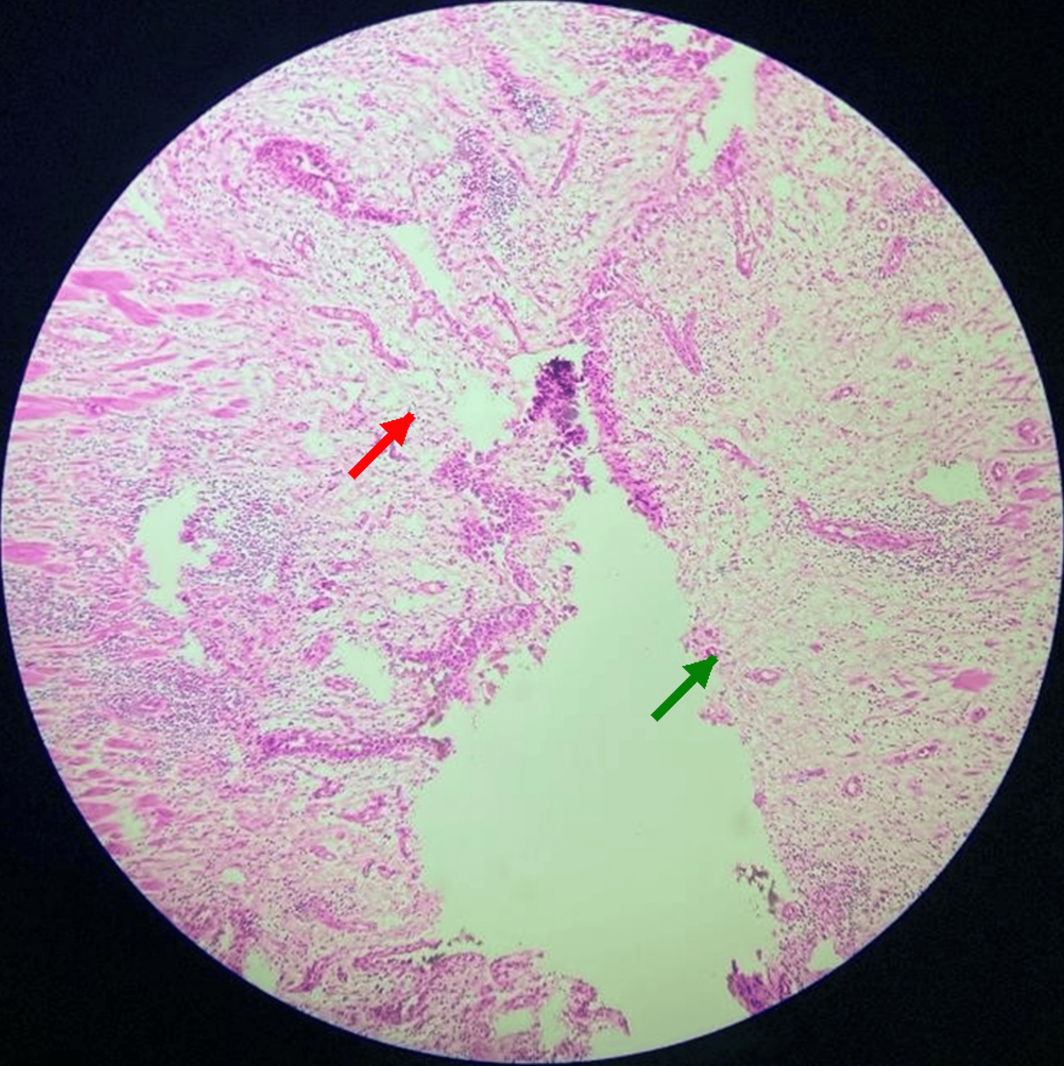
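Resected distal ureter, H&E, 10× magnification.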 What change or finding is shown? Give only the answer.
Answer: Scattered inflammatory infiltrates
